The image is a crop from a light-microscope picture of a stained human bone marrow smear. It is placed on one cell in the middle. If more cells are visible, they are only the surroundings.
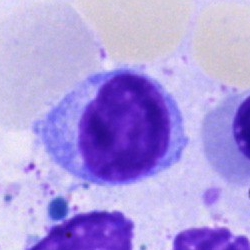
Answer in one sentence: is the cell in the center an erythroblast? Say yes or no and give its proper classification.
No, the middle cell is not an erythroblast, it being a lymphocyte.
